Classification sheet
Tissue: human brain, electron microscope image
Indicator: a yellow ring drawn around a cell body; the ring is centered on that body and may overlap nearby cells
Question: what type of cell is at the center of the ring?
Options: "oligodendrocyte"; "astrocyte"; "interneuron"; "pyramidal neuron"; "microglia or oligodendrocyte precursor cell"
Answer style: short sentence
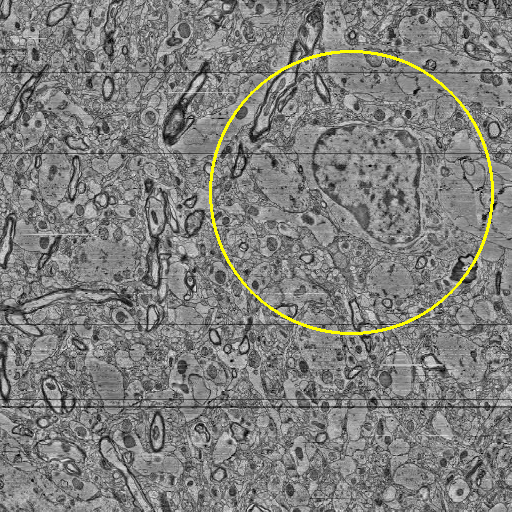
At the ring's center is a microglial cell or oligodendrocyte precursor cell.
